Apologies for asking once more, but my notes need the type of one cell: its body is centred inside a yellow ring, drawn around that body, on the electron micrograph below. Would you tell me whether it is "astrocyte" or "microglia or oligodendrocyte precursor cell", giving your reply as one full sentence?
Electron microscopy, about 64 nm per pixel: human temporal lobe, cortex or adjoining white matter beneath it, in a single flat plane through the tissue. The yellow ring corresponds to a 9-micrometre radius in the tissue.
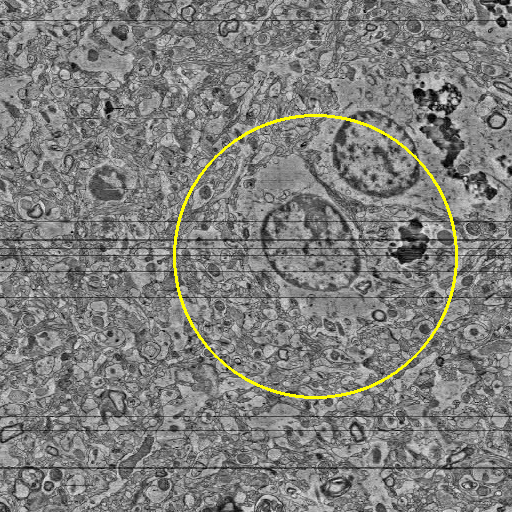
The cell that the yellow ring is centred on is an astrocyte in this micrograph.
